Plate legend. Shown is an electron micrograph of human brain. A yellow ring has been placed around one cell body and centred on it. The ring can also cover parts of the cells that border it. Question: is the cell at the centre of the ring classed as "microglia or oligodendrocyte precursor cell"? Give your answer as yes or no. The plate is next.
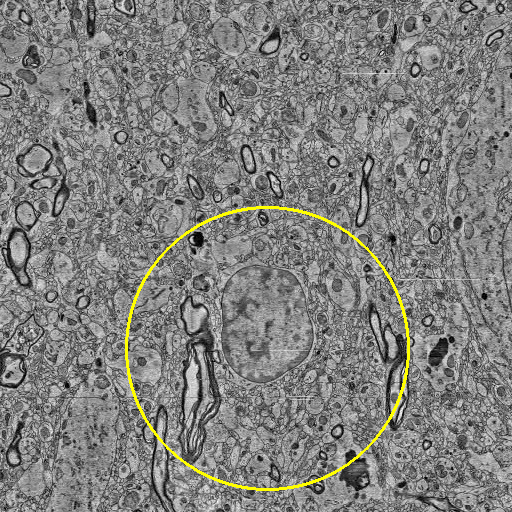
Yes, the ringed cell is of that kind.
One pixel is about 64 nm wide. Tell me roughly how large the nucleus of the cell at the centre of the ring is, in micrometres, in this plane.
About 8 by 6 micrometers, in this plane.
